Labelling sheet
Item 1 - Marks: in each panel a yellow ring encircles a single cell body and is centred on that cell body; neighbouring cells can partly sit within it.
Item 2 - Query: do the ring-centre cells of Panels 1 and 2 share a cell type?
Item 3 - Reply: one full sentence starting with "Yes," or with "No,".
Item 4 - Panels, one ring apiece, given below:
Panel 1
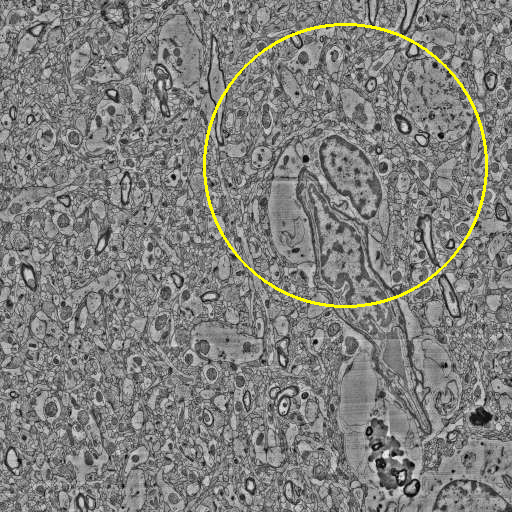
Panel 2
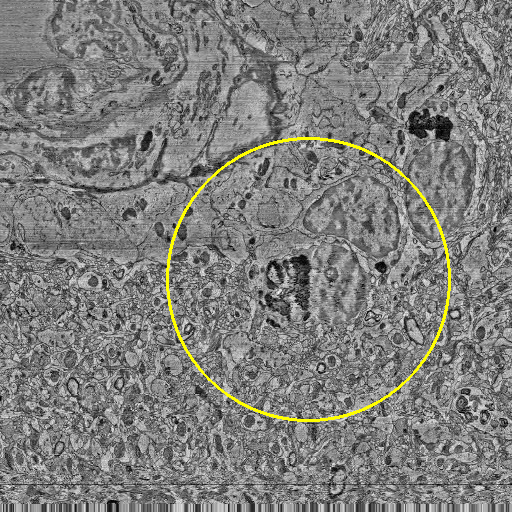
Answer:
No, Panel 1 and Panel 2 show two cell types at the centres of their rings.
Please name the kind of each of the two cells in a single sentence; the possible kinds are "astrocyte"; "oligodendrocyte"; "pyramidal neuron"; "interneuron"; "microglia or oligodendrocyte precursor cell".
In the first picture the ring is centred on a microglial cell or oligodendrocyte precursor cell, and in the second on an oligodendrocyte.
